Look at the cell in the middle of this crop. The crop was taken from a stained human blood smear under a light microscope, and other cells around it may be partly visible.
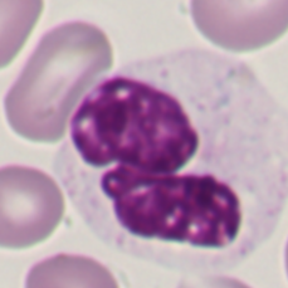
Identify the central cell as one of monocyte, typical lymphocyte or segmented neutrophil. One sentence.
The crop centres on a single cell, and that cell is a segmented neutrophil.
